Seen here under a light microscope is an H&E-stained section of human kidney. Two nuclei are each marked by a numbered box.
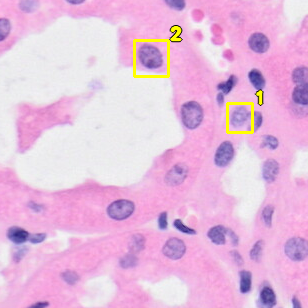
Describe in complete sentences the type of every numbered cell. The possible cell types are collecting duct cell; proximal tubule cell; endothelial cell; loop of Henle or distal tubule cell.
Cell 1 is a collecting duct cell and cell 2 is a proximal tubule cell.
